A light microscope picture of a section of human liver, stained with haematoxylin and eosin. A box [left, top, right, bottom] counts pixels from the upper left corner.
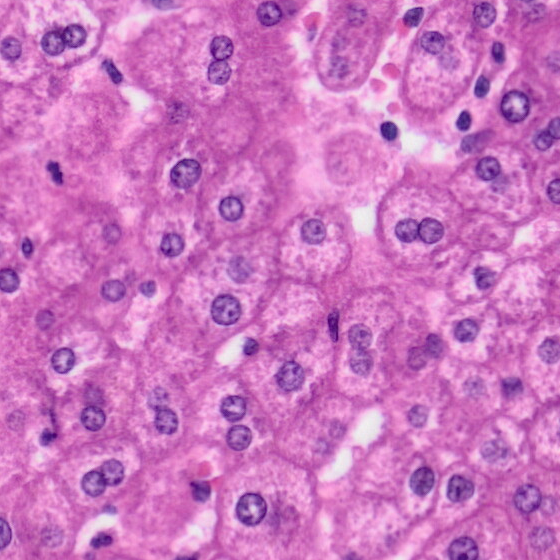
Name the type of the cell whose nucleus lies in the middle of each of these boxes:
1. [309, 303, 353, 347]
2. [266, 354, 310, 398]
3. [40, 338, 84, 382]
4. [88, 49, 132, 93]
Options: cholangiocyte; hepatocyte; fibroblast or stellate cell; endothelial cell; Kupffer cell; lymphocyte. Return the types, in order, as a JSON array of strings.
["fibroblast or stellate cell", "hepatocyte", "hepatocyte", "lymphocyte"]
